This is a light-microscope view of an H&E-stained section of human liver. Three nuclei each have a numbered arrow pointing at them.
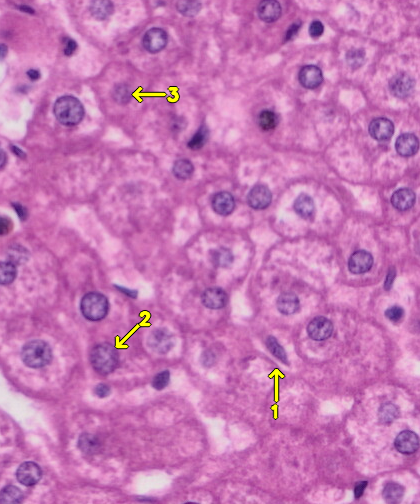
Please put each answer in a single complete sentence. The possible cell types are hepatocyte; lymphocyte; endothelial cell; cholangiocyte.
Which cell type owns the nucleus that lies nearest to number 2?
The cell nearest to number 2 is a lymphocyte.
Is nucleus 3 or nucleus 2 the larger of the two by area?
Nucleus 2 covers more area, about 2 times as much as nucleus 3.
